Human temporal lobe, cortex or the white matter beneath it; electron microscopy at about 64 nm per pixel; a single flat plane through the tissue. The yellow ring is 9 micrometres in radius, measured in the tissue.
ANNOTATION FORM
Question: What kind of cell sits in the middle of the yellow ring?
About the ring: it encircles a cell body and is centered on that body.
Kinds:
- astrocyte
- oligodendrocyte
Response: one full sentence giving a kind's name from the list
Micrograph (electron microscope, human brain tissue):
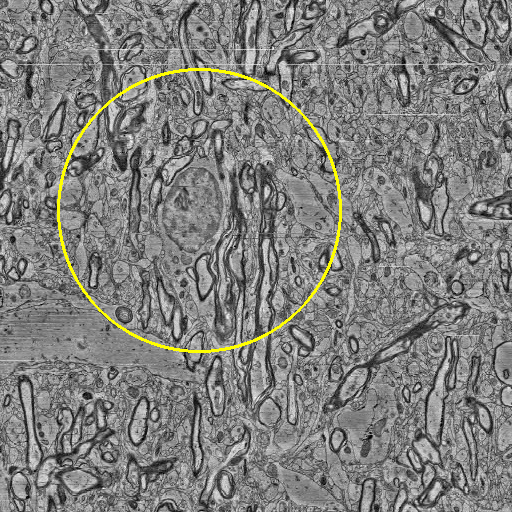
The kind of cell found at the center of the yellow ring in the micrograph is an oligodendrocyte.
